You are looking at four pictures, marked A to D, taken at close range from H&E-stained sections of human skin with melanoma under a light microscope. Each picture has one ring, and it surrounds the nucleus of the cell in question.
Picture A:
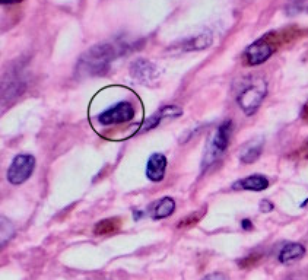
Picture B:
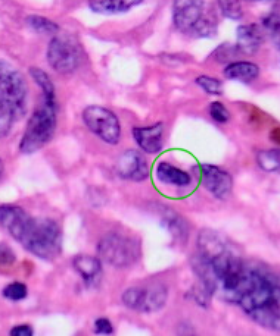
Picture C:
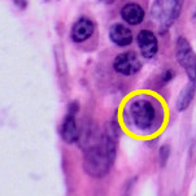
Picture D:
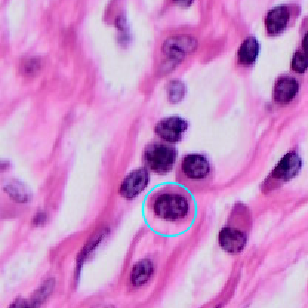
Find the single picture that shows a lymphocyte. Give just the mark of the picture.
B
